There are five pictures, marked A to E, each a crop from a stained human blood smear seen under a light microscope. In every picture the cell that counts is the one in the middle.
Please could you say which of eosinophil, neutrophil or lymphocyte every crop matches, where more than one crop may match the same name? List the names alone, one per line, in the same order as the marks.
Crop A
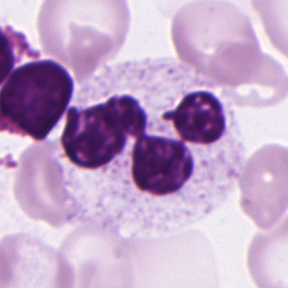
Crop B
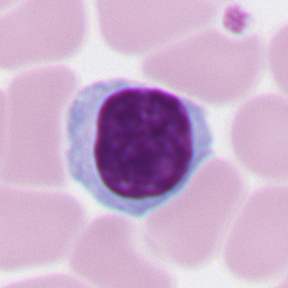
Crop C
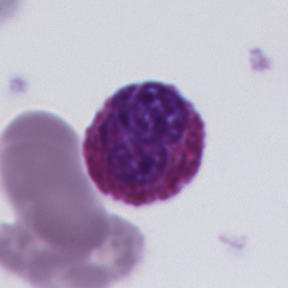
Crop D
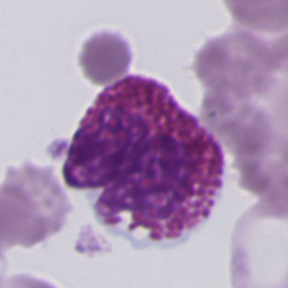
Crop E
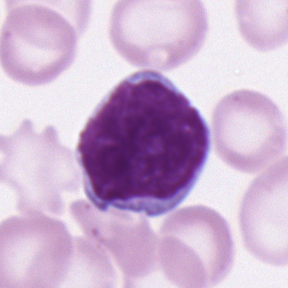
neutrophil
lymphocyte
eosinophil
eosinophil
lymphocyte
